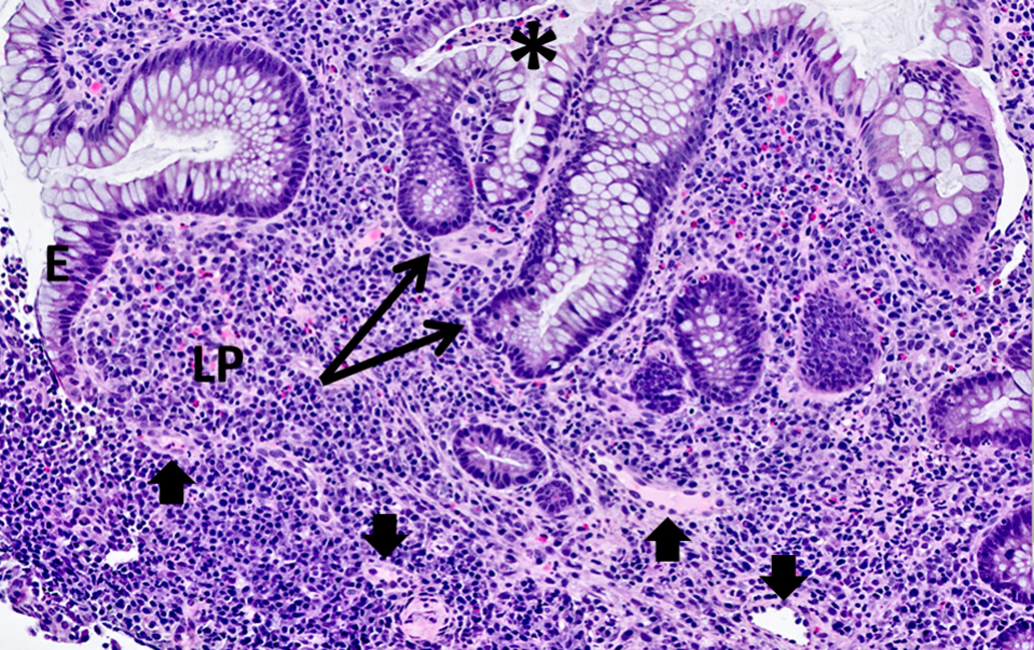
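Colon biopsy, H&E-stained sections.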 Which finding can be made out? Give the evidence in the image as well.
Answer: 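The tissue between the crypts is packed with small cells with round dark nuclei. The crypts are pushed apart by this dense cellular tissue. On this evidence: lymphoplasmacytic infiltrate.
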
